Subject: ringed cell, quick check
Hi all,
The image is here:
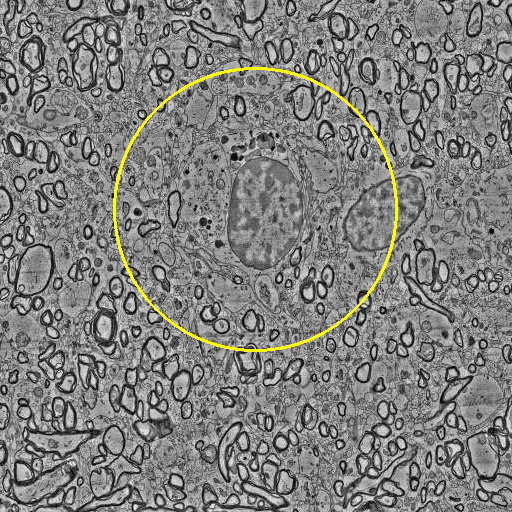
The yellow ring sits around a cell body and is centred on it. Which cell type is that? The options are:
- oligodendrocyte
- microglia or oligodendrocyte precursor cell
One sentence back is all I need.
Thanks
That ringed cell is a microglial cell or oligodendrocyte precursor cell.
